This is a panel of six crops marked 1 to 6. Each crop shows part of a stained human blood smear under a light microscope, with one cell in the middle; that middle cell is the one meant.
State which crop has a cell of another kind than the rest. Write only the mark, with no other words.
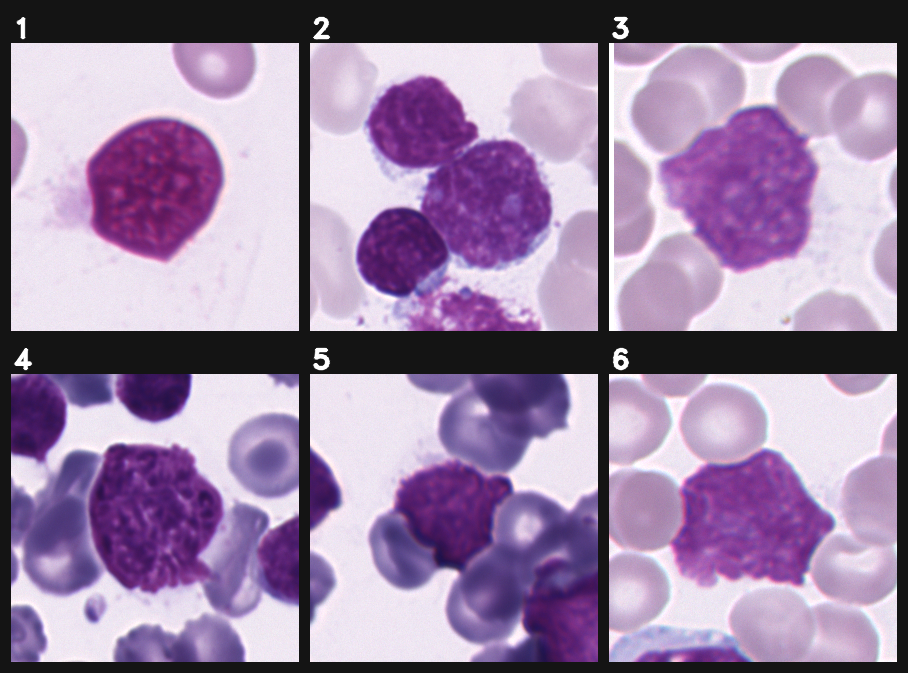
2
